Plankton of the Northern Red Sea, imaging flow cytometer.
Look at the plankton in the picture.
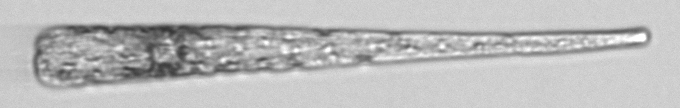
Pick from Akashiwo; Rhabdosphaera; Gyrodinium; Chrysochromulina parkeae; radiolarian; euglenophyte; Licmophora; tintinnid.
Licmophora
